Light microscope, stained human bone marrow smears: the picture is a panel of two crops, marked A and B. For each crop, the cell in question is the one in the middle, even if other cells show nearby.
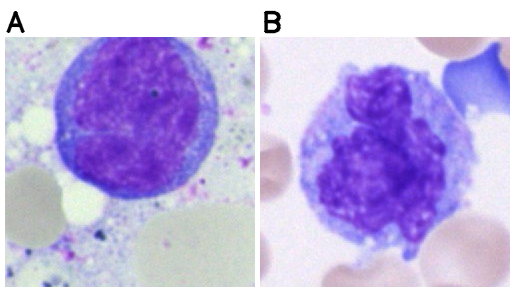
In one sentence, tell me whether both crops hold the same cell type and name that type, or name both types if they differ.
Yes, it is monocytes that occupy the middle of both crops.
